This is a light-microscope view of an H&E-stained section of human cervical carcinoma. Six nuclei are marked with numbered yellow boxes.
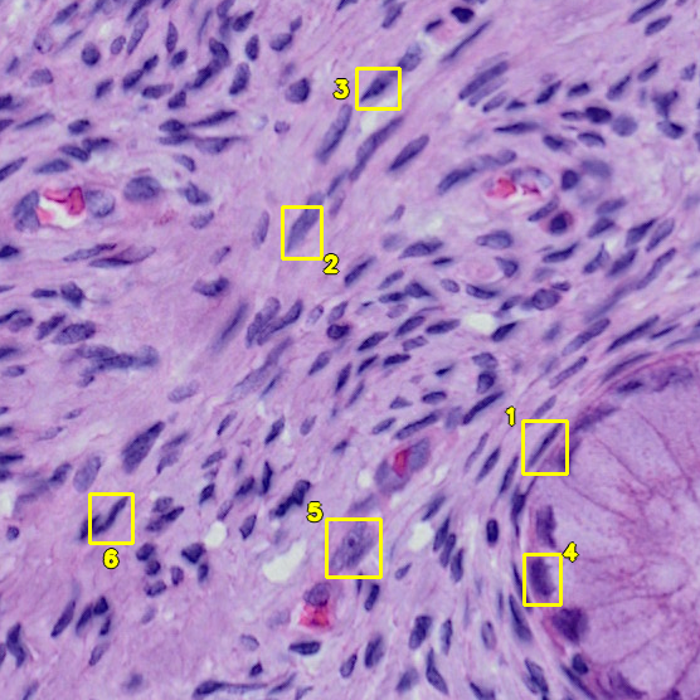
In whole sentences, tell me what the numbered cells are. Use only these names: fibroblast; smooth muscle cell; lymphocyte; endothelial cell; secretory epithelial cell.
Cell 1 is a fibroblast, cell 2 is a fibroblast, cell 3 is a fibroblast, cell 4 is a secretory epithelial cell, cell 5 is an endothelial cell and cell 6 is a fibroblast.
